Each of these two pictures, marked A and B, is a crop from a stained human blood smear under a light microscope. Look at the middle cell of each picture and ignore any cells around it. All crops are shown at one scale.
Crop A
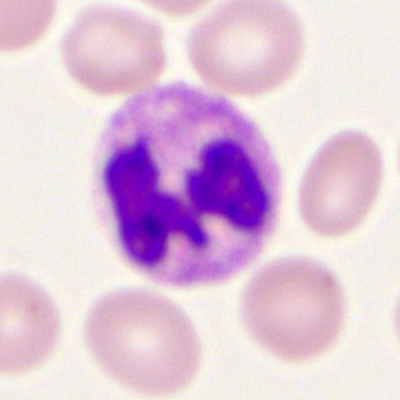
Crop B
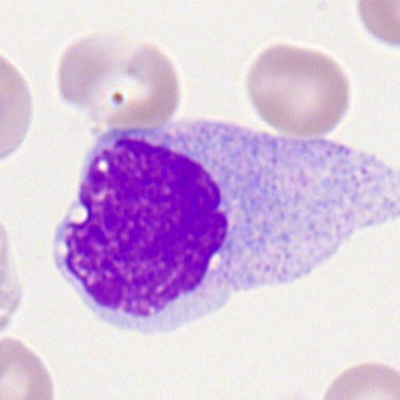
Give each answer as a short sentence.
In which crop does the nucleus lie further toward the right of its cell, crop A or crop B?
It is the nucleus in crop A that lies further toward the right of its cell.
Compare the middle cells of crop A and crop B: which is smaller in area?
The cell in crop A is smaller; the one in crop B has about 1.5 times its area.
